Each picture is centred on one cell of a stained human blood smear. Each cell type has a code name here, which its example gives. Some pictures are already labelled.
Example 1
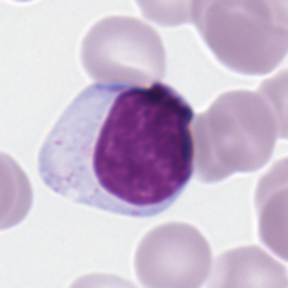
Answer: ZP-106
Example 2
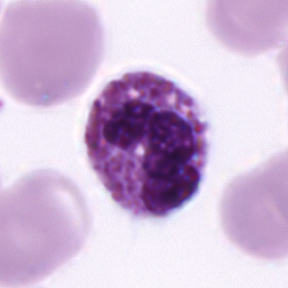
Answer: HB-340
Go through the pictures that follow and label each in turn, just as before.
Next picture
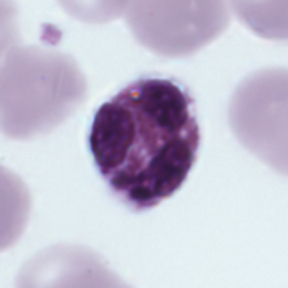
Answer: HB-340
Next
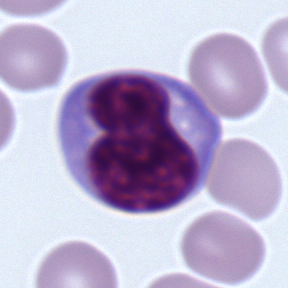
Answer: ZP-106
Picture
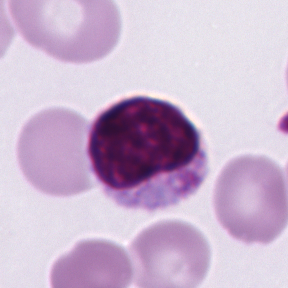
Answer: ZP-106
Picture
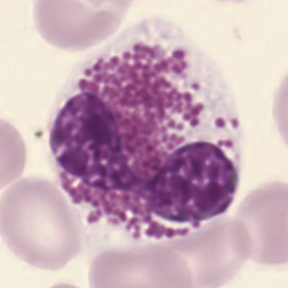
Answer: HB-340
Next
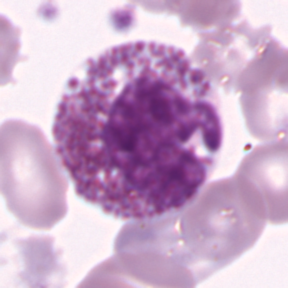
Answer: HB-340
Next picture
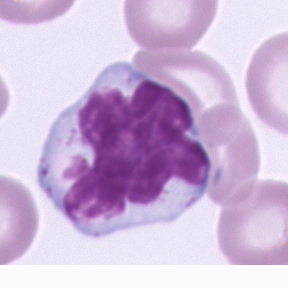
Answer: ZP-106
